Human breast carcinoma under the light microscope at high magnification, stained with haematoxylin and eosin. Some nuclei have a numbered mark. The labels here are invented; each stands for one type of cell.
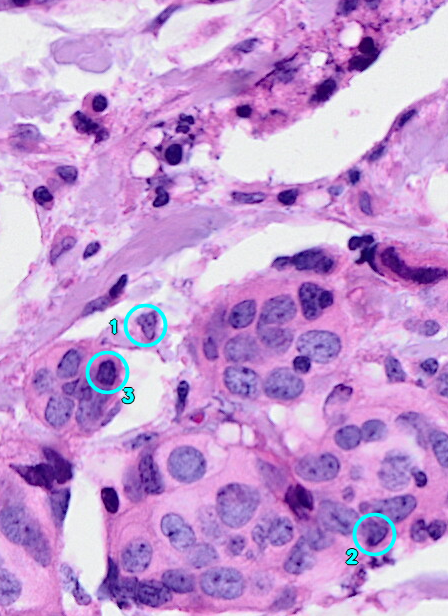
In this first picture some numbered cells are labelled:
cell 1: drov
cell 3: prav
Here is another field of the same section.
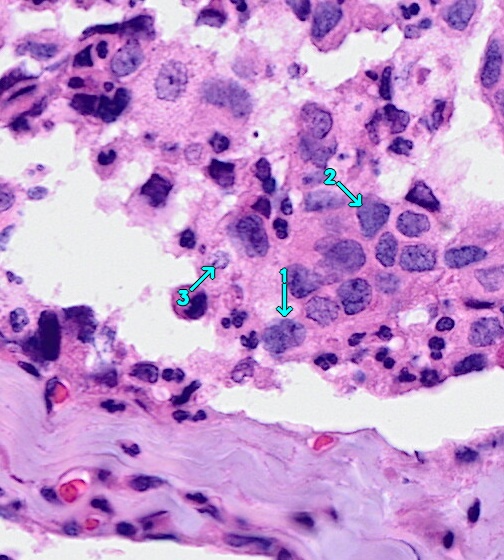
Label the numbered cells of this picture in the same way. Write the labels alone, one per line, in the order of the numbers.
prav
prav
drov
